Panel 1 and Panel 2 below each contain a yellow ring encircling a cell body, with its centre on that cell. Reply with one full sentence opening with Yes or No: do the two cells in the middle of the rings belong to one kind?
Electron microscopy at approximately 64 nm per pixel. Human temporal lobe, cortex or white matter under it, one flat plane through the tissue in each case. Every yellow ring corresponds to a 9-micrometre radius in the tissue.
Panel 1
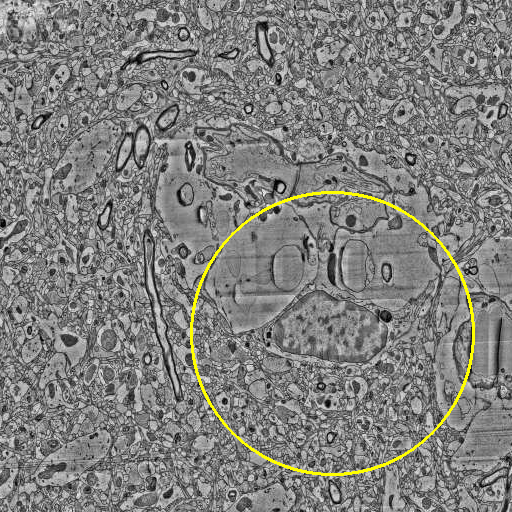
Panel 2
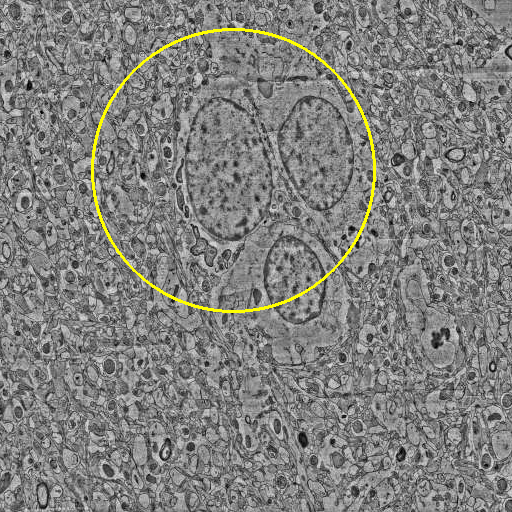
No, the cells at the middle of the Panel 1 ring and the Panel 2 ring are of two kinds.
